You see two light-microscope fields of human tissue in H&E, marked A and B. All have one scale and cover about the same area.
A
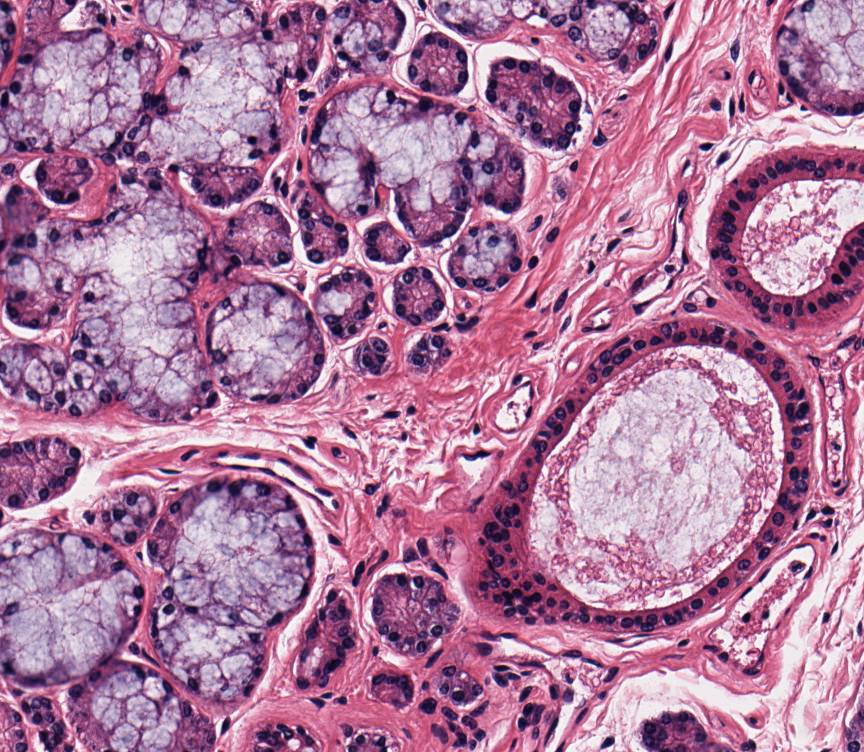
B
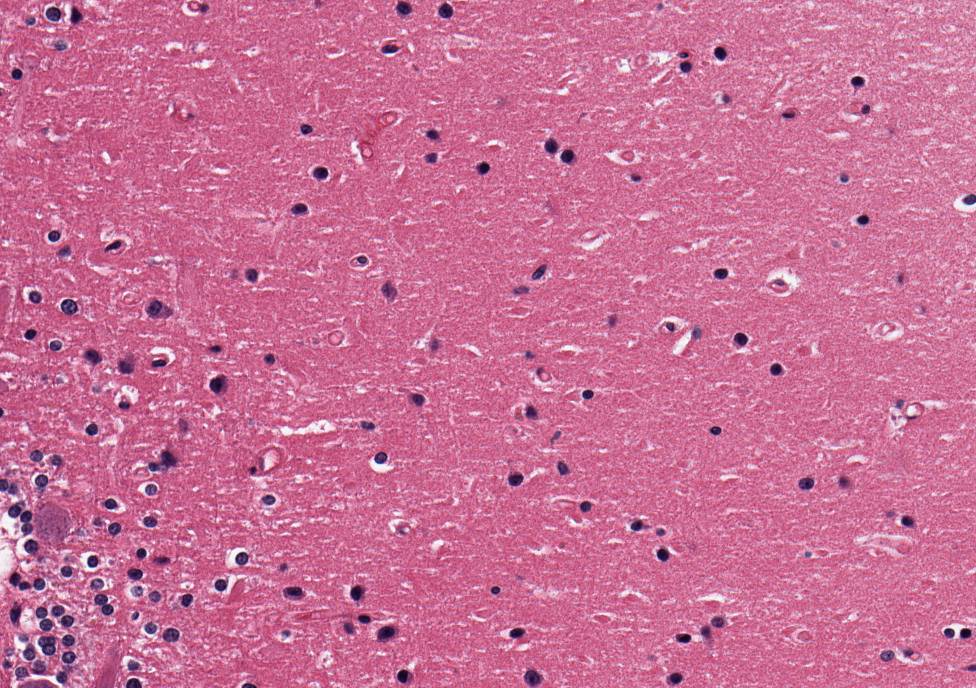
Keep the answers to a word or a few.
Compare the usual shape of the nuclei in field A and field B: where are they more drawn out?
A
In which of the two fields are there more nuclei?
A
